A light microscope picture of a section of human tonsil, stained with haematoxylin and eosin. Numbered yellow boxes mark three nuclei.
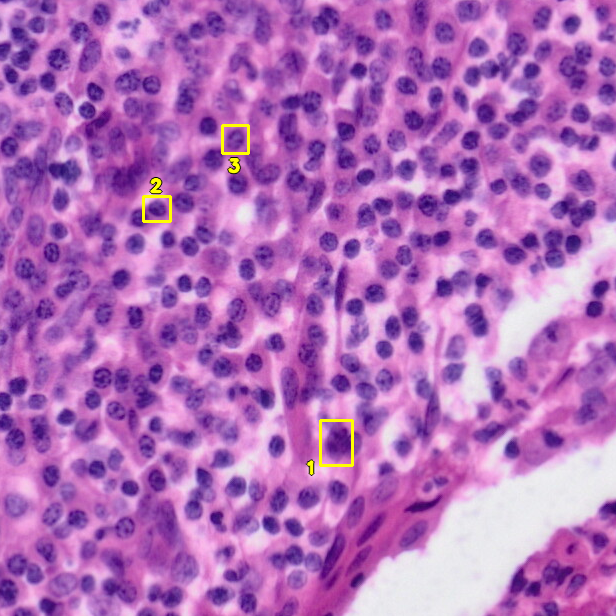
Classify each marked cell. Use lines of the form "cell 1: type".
cell 1: squamous epithelial cell
cell 2: plasma cell
cell 3: plasma cell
